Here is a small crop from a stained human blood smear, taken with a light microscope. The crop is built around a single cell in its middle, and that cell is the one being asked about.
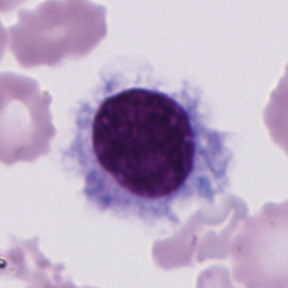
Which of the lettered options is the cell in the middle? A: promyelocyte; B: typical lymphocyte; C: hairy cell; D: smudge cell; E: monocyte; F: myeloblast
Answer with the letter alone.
C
